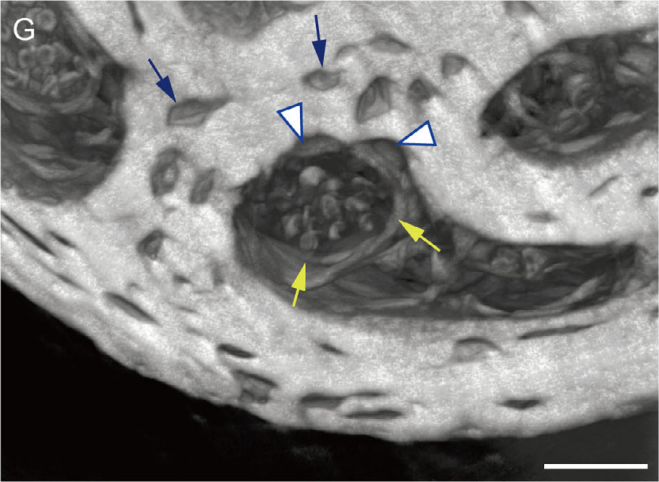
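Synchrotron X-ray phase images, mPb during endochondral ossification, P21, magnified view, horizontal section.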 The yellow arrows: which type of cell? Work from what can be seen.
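Endothelial cells. The arrows point to thin flattened cells lining the wall of a channel. The channel contains small round discs.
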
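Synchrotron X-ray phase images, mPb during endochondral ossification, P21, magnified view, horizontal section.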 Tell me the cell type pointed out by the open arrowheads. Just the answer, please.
osteoblasts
